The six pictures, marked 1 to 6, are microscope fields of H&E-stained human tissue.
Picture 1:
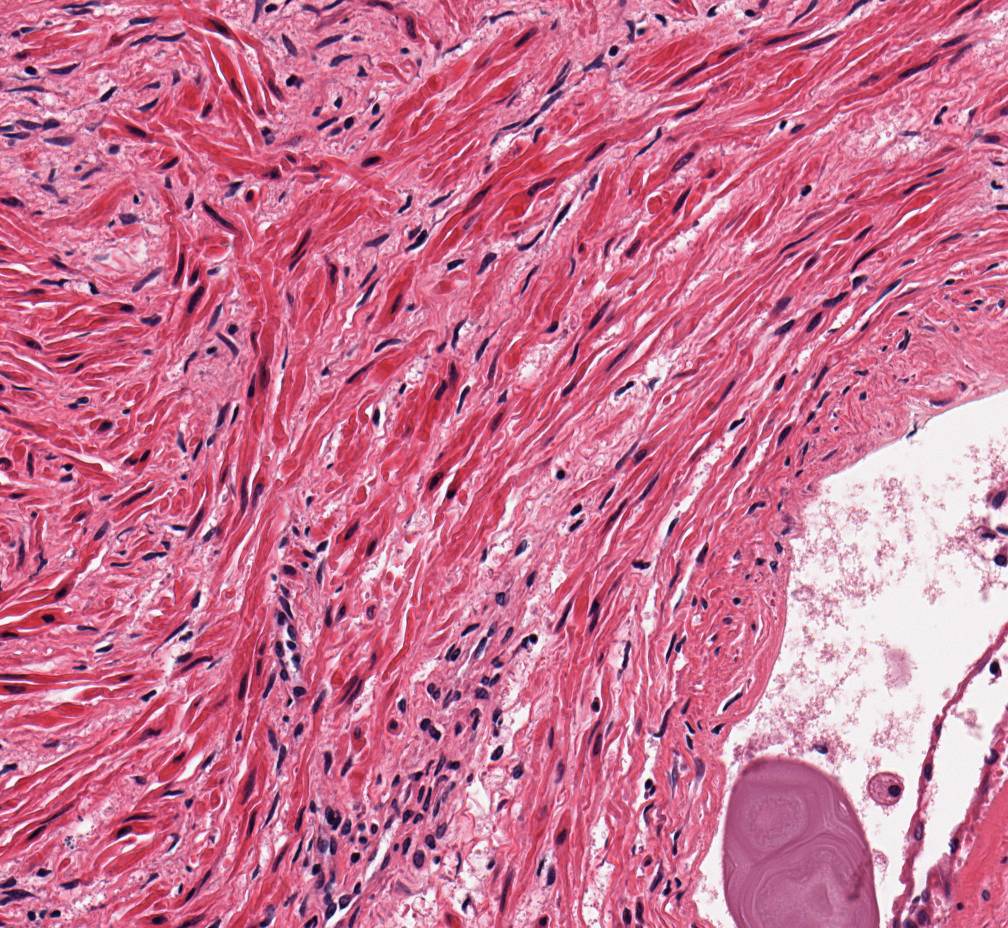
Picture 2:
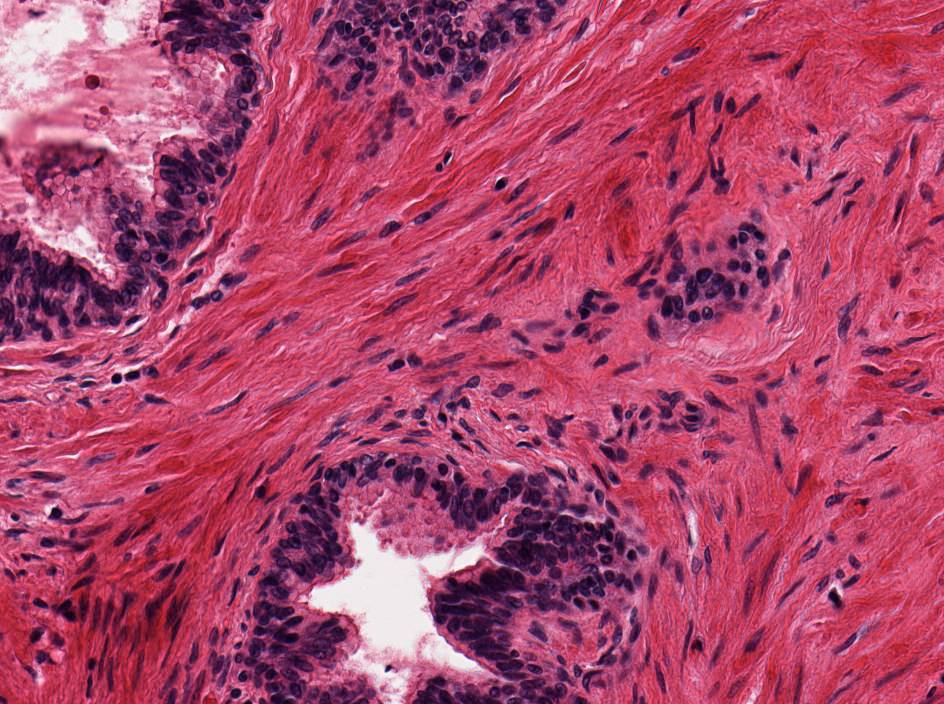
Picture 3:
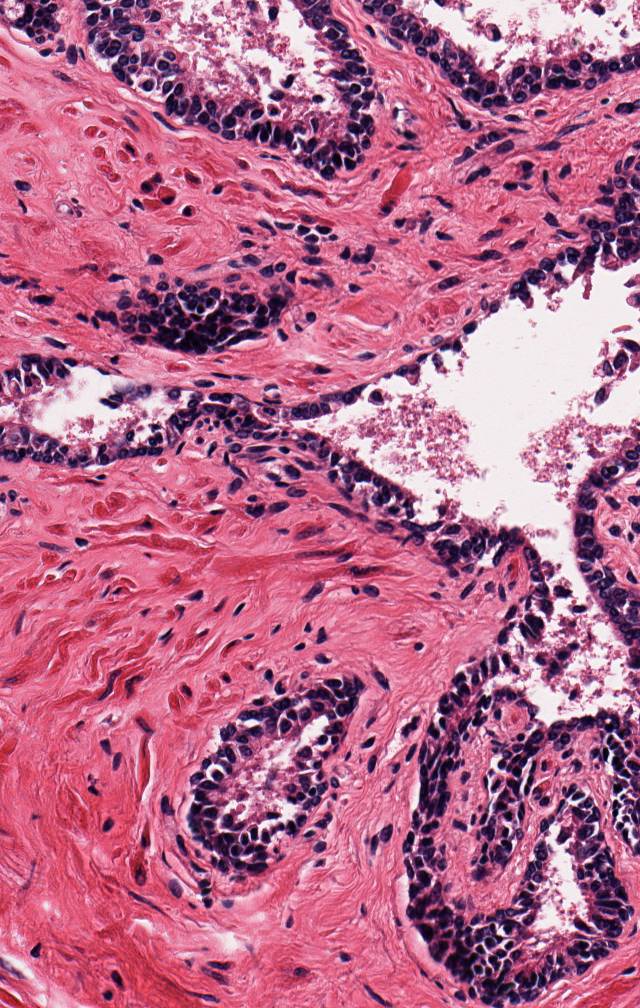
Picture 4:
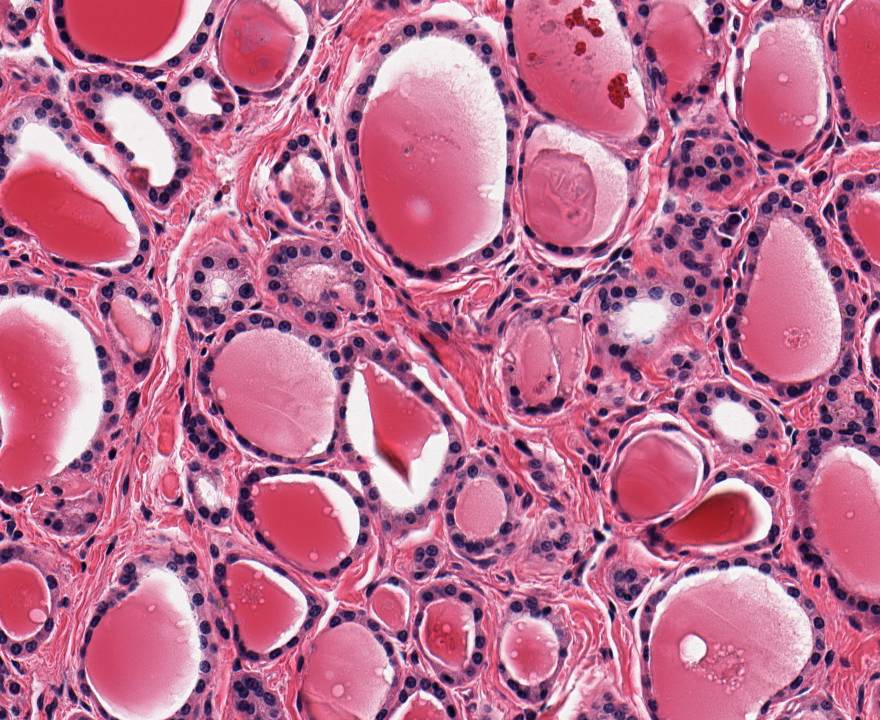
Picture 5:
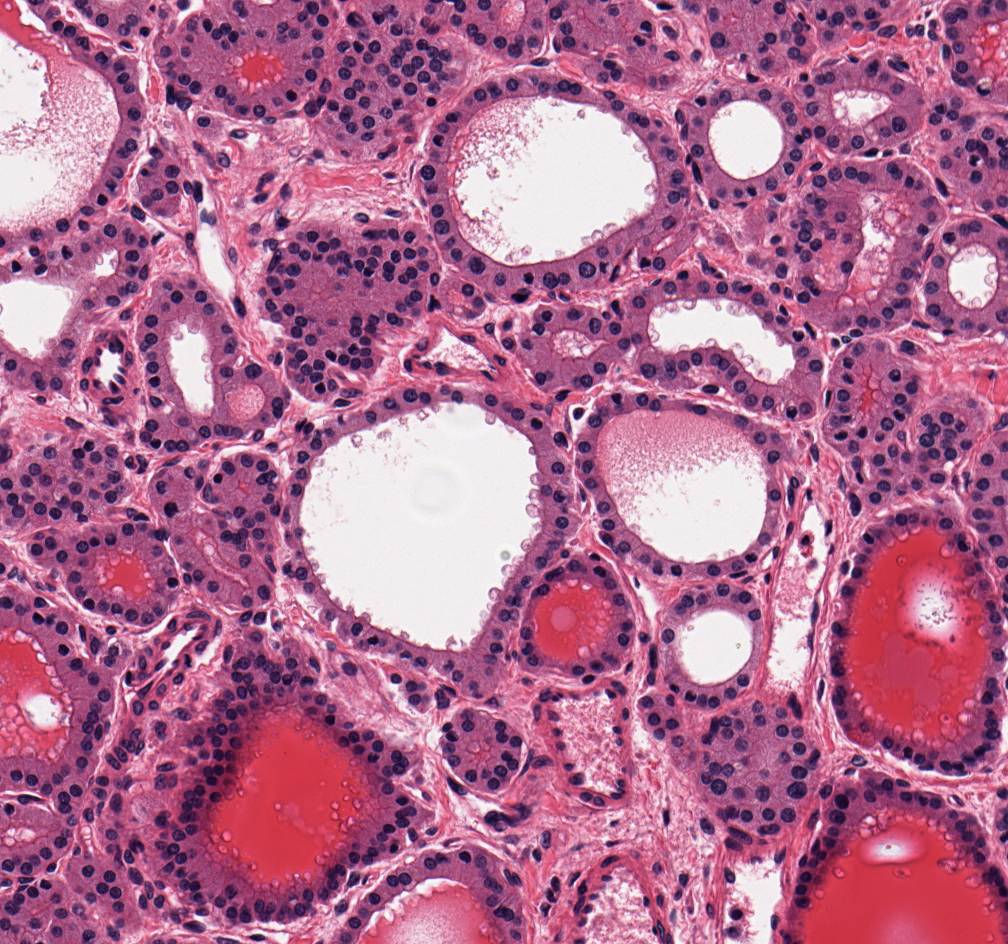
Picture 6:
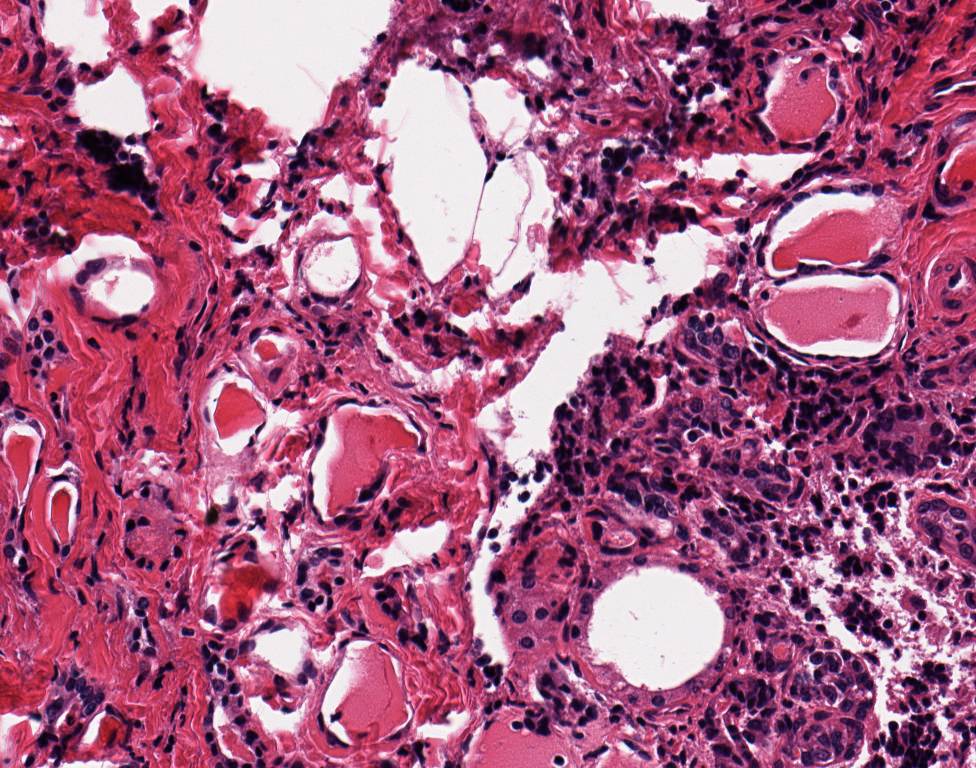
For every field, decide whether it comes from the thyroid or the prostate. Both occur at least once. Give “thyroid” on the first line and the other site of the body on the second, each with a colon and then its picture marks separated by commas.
thyroid: 4, 5, 6
prostate: 1, 2, 3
